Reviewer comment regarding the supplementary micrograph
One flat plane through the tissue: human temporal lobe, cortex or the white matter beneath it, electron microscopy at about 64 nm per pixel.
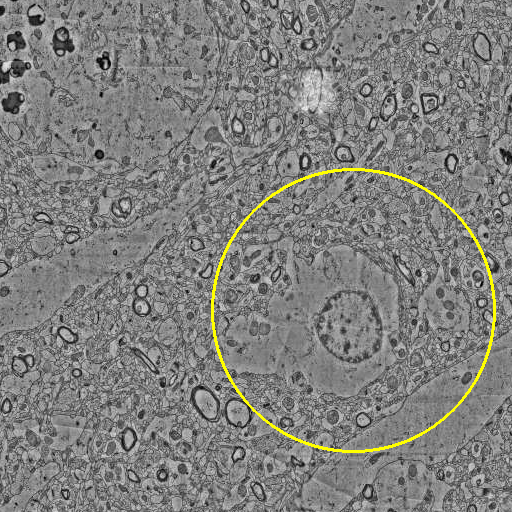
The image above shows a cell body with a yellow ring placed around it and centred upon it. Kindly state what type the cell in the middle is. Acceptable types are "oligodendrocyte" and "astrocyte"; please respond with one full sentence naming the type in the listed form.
In the image above, the cell on which the yellow ring is centred is an astrocyte.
